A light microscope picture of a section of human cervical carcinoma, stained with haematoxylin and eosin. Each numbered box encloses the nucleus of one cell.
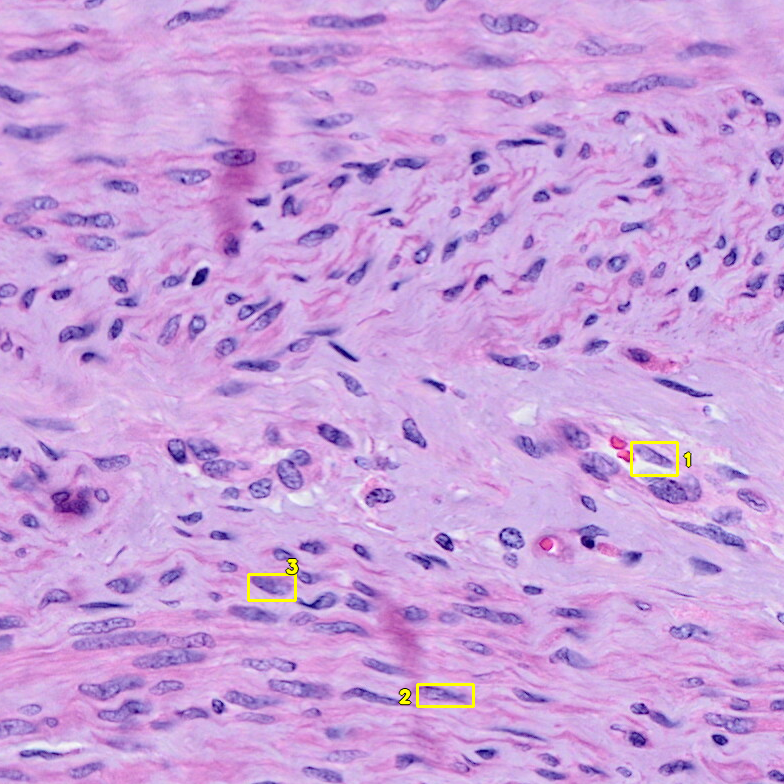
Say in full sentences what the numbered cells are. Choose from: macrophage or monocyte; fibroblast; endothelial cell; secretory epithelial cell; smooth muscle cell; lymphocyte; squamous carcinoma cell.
Cell 1 is an endothelial cell. Cells 2 and 3 are smooth muscle cells.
